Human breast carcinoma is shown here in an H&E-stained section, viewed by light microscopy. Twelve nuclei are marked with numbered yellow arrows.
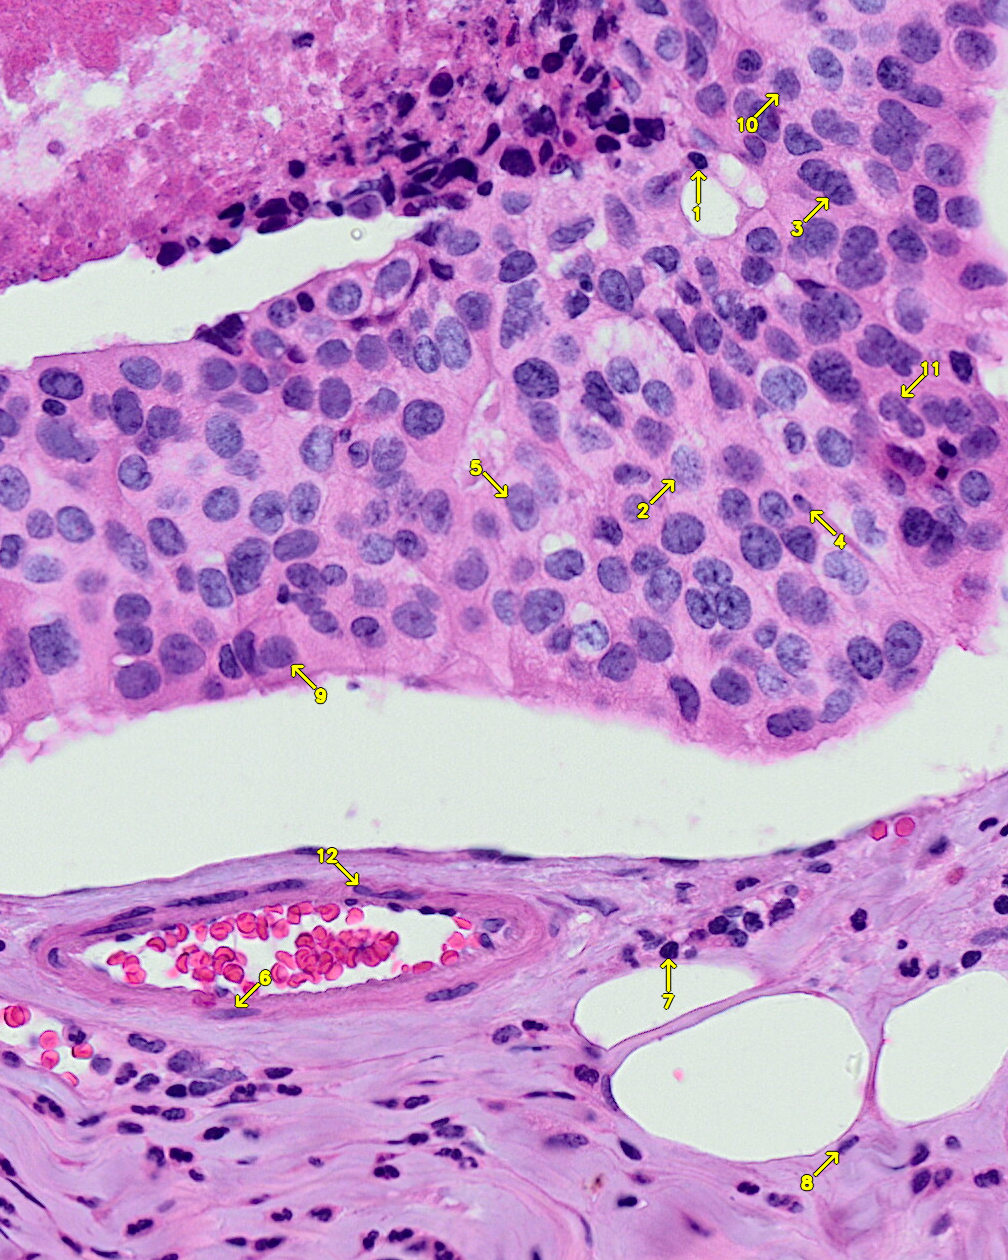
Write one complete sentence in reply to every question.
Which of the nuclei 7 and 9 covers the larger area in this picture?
At about 4 times the area of nucleus 7, nucleus 9 is the larger of the two.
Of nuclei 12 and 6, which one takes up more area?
Of the two, number 6 is bigger and takes up about 2.5 times the area of number 12.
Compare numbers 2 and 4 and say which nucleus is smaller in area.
It is nucleus 4; nucleus 2 has about 4 times its area.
